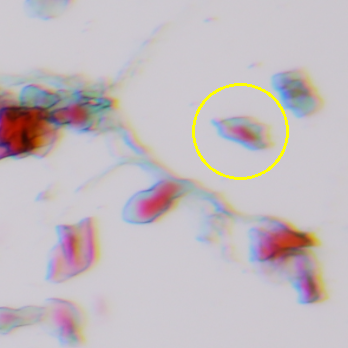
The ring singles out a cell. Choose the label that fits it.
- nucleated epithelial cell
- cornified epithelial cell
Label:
nucleated epithelial cell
